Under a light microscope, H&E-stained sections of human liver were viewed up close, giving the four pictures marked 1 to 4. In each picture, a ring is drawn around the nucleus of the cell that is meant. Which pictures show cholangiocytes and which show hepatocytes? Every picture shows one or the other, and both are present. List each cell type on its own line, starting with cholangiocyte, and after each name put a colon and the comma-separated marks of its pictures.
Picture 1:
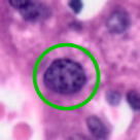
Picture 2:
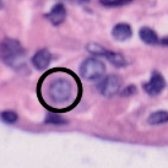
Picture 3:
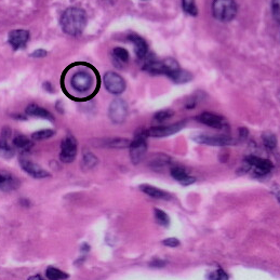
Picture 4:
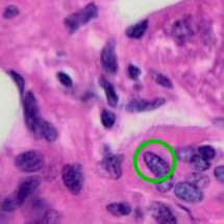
cholangiocyte: 2, 3, 4
hepatocyte: 1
